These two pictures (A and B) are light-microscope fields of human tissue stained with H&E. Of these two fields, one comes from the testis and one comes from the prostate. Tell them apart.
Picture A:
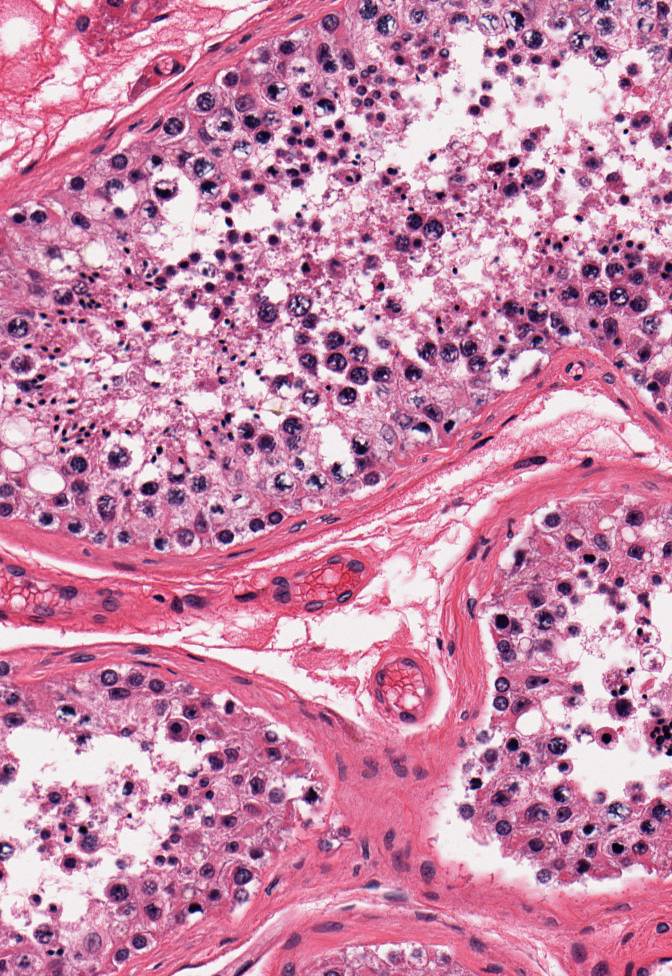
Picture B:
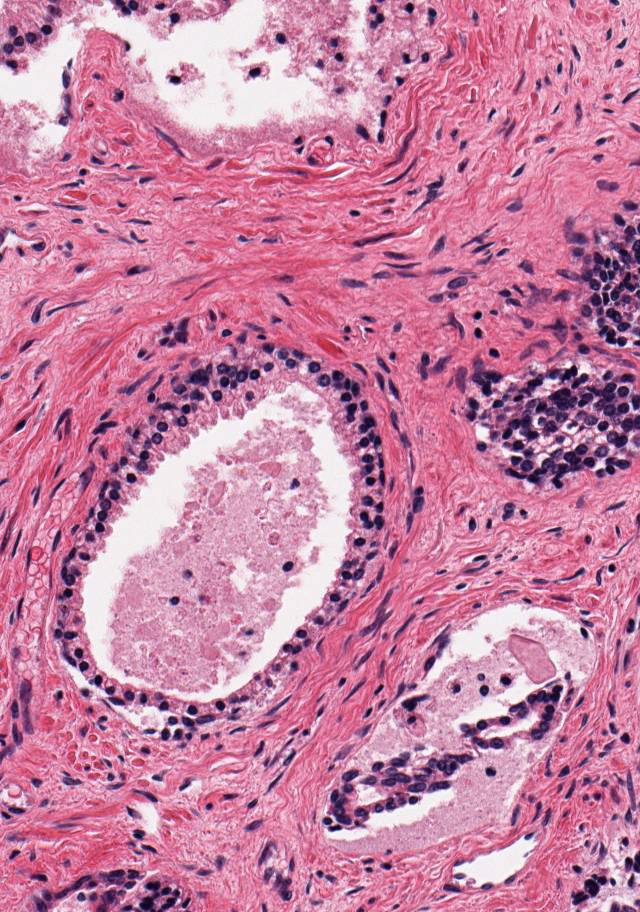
A: testis
B: prostate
